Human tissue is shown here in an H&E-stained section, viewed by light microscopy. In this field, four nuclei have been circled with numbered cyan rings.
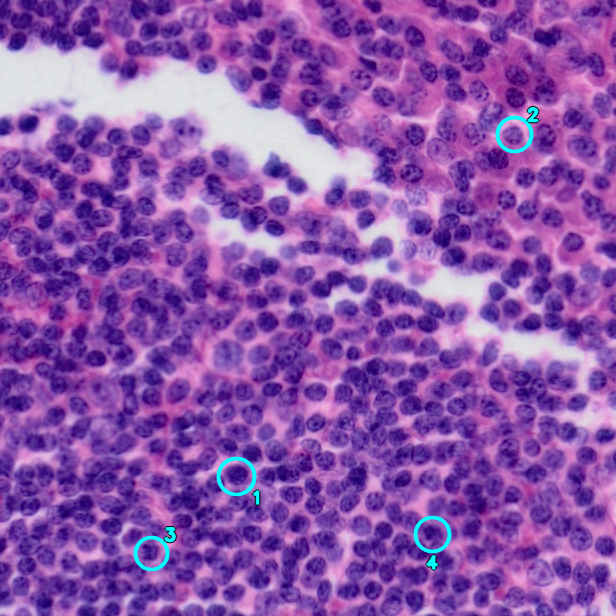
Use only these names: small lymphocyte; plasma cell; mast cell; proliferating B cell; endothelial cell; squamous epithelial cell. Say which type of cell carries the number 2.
plasma cell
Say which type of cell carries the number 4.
small lymphocyte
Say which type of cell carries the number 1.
small lymphocyte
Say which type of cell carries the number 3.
small lymphocyte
